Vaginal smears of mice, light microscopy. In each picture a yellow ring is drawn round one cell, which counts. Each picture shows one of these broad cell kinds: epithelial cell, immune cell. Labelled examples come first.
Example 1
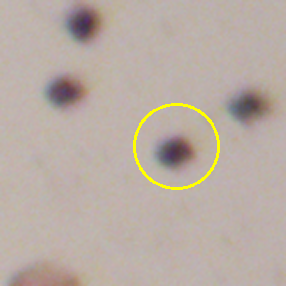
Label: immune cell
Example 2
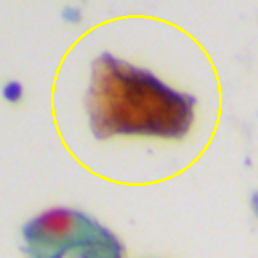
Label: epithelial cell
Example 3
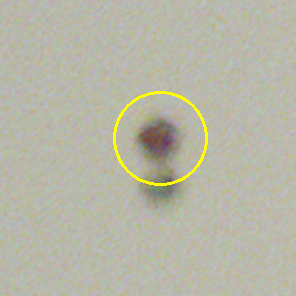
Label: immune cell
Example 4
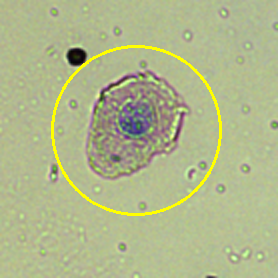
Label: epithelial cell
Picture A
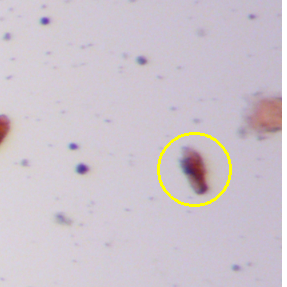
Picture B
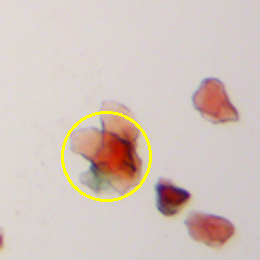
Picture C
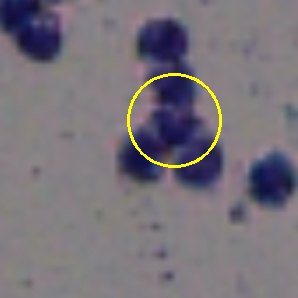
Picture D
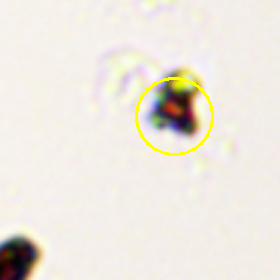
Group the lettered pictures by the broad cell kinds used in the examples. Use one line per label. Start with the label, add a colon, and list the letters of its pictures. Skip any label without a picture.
epithelial cell: A, B
immune cell: C, D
